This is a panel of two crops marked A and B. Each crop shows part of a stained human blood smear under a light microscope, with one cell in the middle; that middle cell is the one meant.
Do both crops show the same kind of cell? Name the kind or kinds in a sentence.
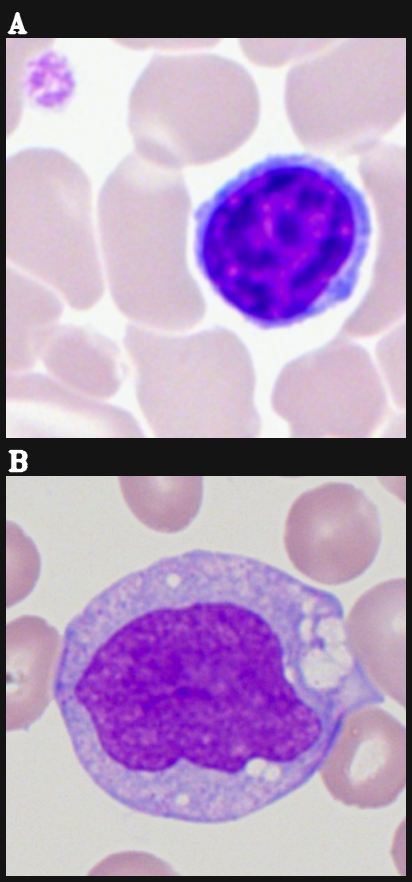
No, a lymphocyte is in crop A, while a monocyte is in crop B.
